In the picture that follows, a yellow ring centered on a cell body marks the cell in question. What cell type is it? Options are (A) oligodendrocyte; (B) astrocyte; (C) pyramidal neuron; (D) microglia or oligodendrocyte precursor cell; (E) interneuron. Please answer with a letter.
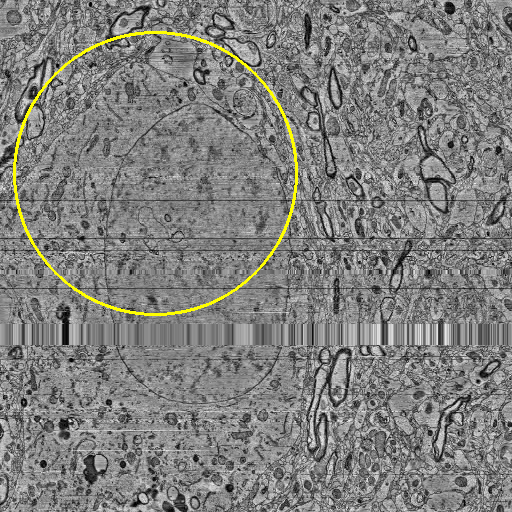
C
